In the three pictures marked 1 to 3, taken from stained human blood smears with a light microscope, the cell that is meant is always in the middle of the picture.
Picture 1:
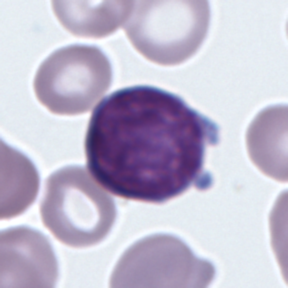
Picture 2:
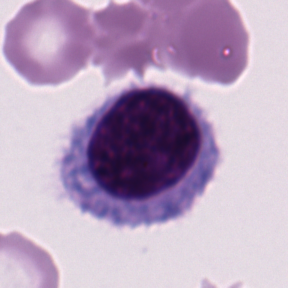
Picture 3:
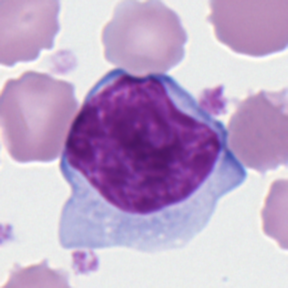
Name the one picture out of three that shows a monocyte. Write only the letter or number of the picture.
3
